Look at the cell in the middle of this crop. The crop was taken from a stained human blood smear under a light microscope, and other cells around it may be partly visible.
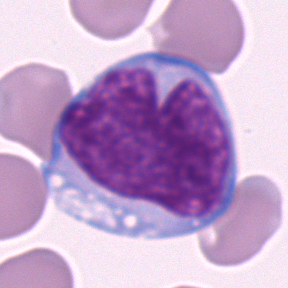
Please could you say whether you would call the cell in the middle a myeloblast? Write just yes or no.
yes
